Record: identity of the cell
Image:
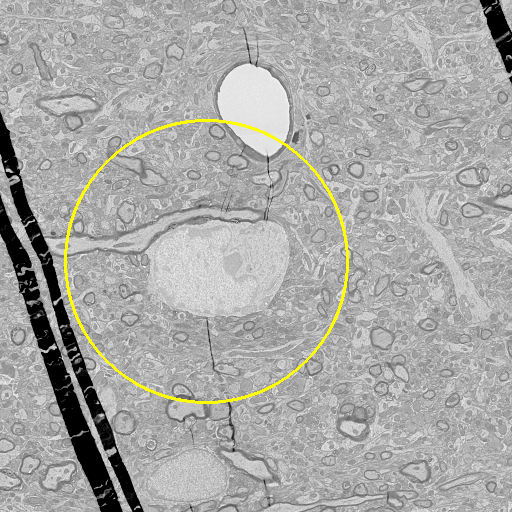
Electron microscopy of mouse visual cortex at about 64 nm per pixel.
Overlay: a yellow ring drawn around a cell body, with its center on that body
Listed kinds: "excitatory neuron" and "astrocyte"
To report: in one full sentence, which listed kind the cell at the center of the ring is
In the image, the cell body at the ring's center belongs to an astrocyte.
